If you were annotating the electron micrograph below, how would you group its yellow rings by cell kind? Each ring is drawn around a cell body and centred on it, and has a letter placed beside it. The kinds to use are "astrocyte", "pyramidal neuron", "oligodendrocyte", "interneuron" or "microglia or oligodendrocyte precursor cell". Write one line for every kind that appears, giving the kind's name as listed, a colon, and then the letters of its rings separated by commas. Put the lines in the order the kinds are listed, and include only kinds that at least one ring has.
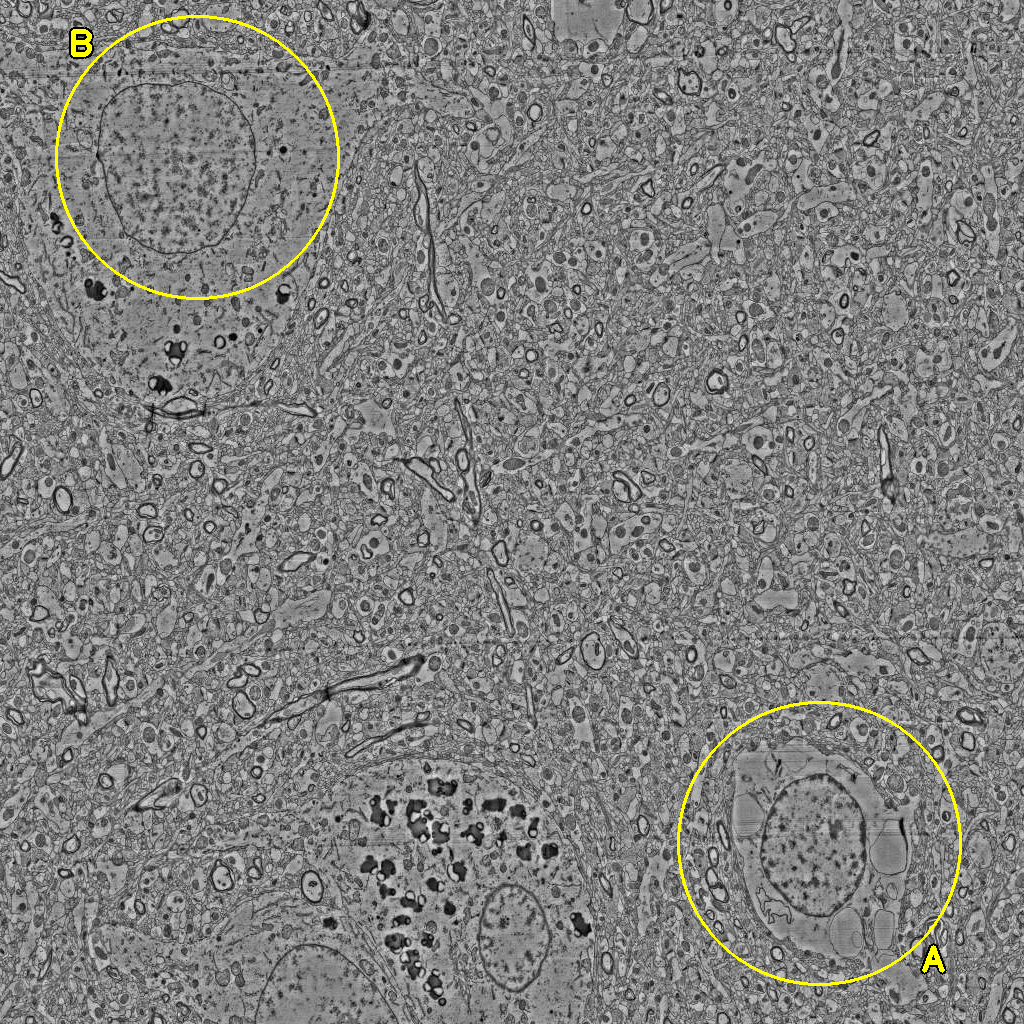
astrocyte: A
pyramidal neuron: B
